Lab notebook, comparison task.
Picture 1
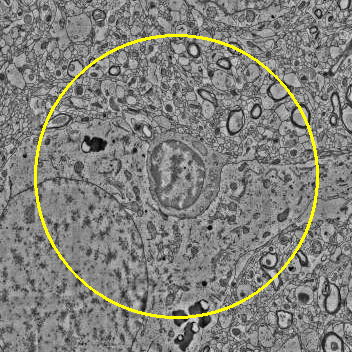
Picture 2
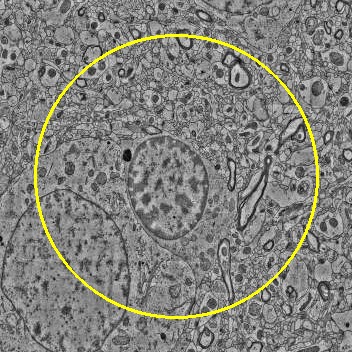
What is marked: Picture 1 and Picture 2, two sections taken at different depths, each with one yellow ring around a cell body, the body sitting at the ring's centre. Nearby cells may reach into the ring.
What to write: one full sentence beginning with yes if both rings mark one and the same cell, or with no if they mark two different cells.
Yes, the two rings mark one cell and not separate cells.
